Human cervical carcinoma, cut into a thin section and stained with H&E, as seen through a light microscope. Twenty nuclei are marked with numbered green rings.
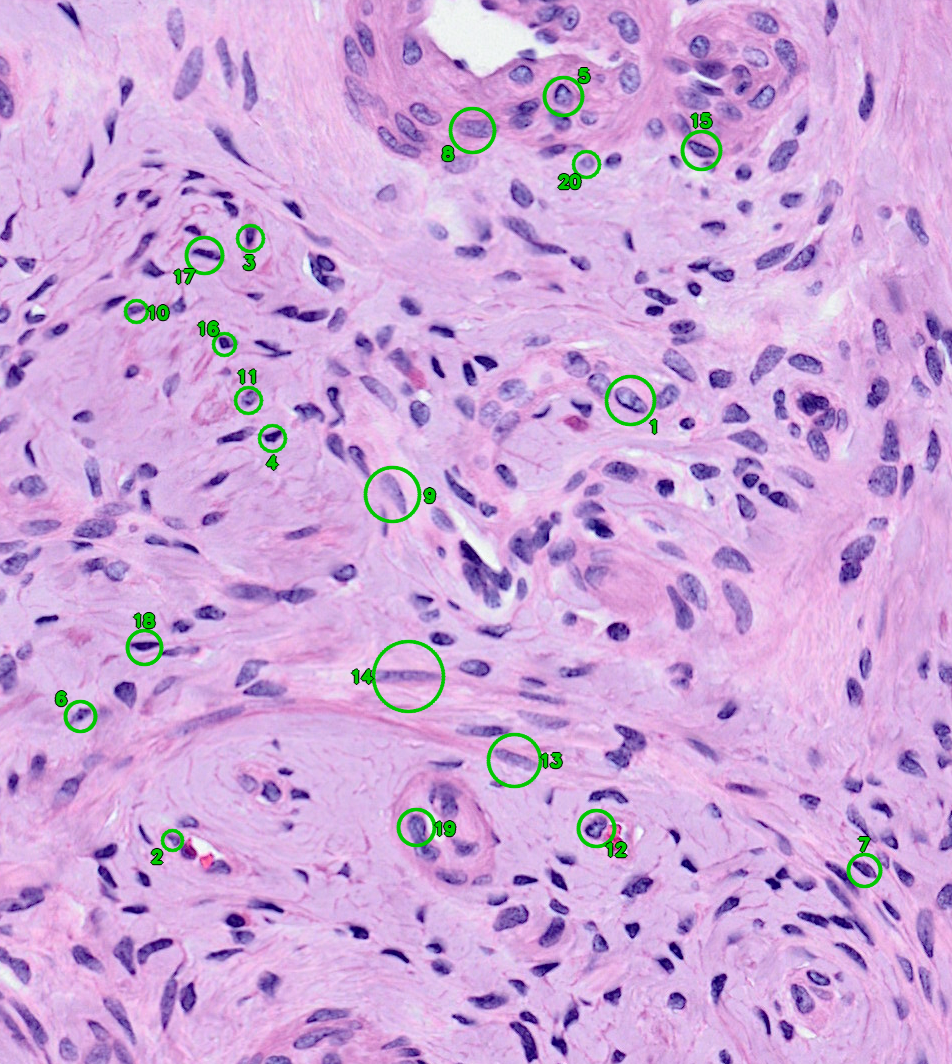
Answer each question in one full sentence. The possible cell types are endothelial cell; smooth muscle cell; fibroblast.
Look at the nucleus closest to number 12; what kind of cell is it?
It is a fibroblast whose nucleus is nearest to number 12.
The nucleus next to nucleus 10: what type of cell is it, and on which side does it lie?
It is a fibroblast, whose nucleus lies to the left of nucleus 10.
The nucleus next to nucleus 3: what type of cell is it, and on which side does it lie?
A fibroblast lies closest, above and to the left of nucleus 3.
